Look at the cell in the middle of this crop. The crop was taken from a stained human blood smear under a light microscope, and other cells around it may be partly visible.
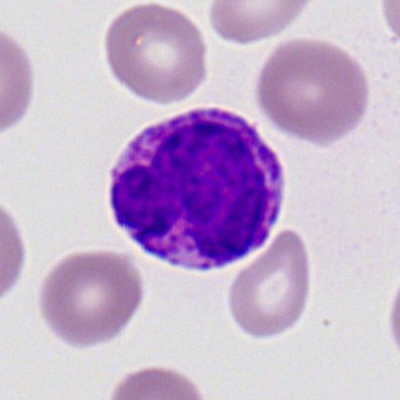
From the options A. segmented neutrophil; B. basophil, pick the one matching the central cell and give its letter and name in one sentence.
This one is option B, since the cell at the center is a basophil.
